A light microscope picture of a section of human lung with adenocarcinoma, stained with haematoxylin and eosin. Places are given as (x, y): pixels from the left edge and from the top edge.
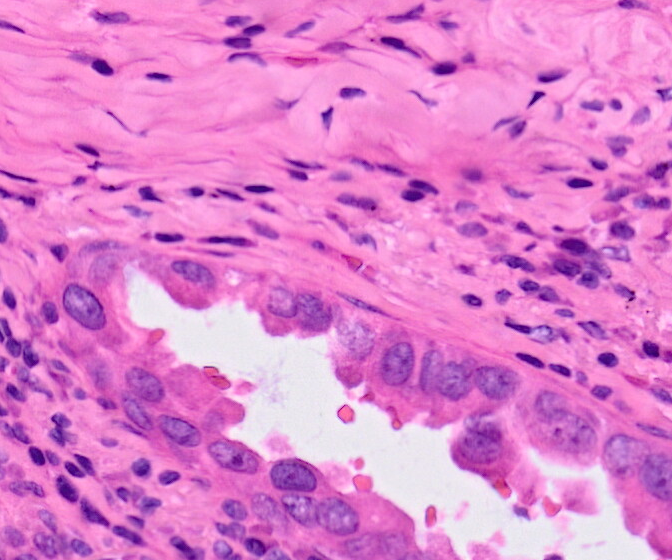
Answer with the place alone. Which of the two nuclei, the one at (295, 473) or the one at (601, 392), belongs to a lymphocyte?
(601, 392)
